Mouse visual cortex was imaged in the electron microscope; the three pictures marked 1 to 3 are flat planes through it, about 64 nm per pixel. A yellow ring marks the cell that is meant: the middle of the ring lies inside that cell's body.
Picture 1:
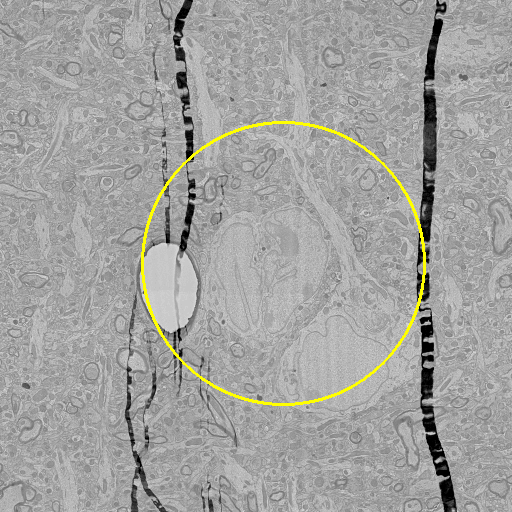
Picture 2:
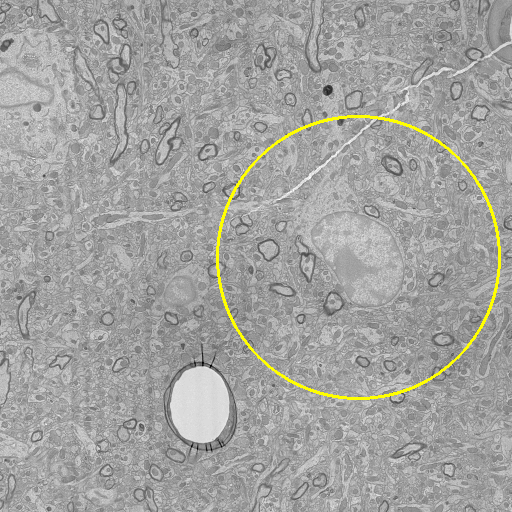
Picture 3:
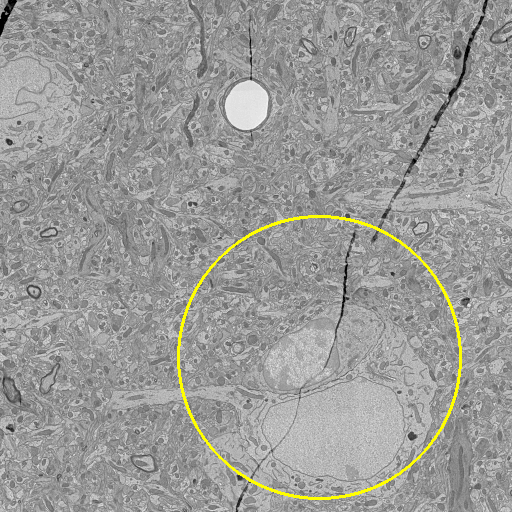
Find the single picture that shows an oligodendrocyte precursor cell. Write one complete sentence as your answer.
The cell in picture 1 is the oligodendrocyte precursor cell.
